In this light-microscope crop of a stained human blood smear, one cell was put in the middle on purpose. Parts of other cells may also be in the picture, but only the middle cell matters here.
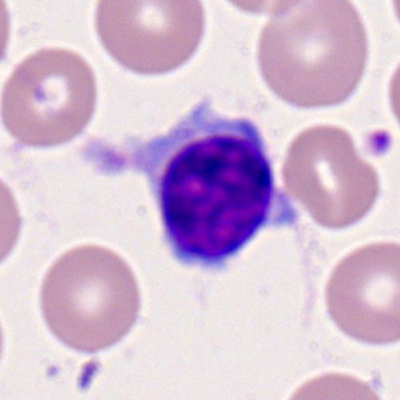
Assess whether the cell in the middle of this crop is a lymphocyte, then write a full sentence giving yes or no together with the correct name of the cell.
Yes, the central cell is to be recorded as a lymphocyte.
